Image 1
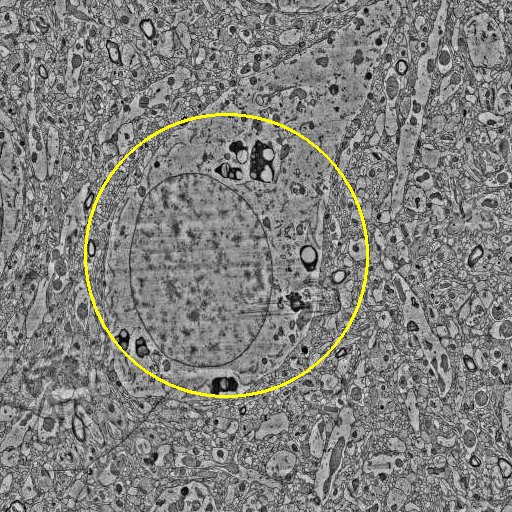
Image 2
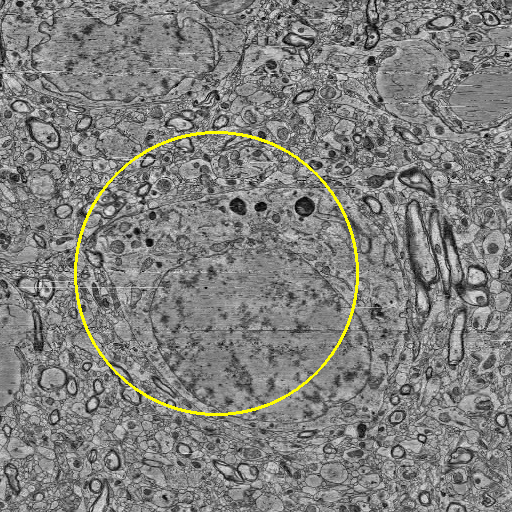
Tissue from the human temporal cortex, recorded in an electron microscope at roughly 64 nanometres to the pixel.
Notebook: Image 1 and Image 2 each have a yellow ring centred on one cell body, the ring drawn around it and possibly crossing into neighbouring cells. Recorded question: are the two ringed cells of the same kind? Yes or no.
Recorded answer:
yes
